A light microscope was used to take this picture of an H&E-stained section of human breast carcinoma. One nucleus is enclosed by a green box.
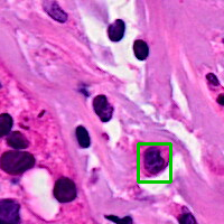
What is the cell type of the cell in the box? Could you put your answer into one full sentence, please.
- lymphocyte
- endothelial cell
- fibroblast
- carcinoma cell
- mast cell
In the tissue under study, the cell in the box is a mast cell.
